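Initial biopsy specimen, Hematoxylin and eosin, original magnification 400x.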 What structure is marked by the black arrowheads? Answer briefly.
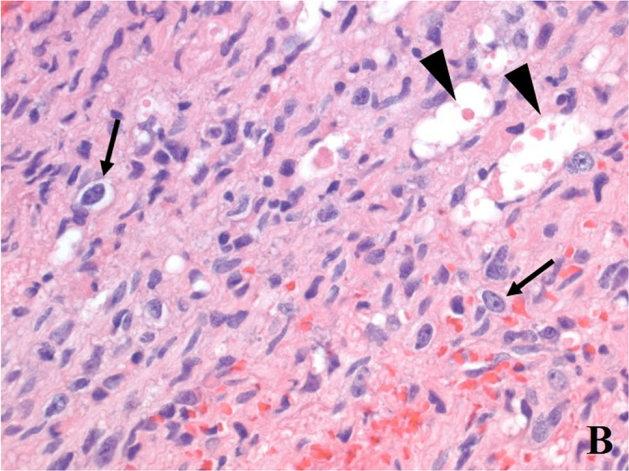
Myelin ovoids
